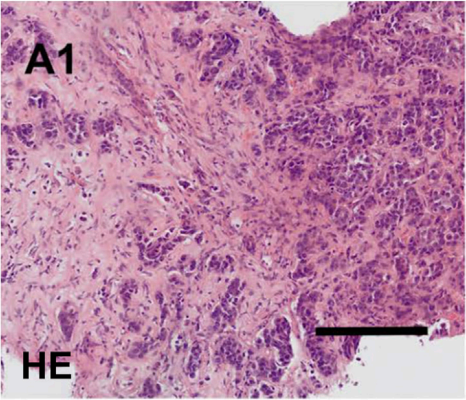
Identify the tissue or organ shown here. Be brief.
Desmoplastic stroma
